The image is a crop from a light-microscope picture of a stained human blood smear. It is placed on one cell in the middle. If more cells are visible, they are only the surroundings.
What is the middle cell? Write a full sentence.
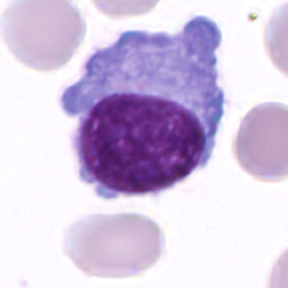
Centred in the crop is a plasma cell.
